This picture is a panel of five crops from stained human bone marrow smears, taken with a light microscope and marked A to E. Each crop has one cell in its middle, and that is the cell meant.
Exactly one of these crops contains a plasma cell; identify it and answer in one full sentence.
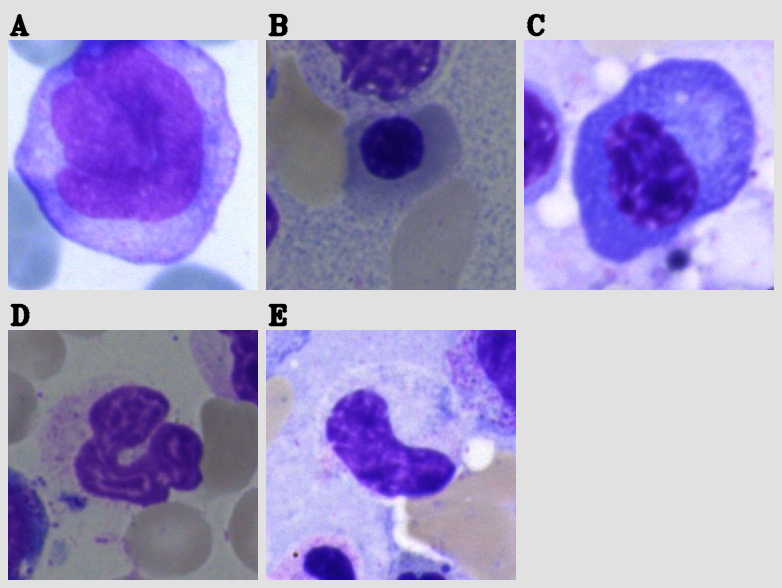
The requested cell, a plasma cell, is the one in crop C.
